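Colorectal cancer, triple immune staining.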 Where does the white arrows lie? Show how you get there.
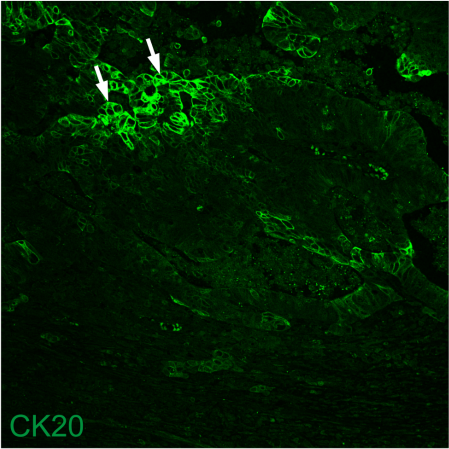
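The arrows point to a cluster of brightly green-outlined cells. The cluster lies within the glandular mass, away from its lower border.
Answer: tumor center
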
